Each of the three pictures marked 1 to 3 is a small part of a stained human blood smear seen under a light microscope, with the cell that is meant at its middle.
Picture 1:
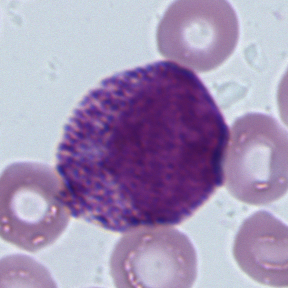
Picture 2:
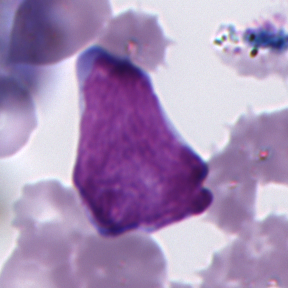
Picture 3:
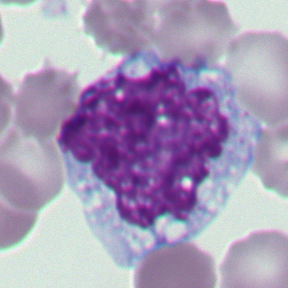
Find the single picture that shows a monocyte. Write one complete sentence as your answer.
The picture with the monocyte is 3.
